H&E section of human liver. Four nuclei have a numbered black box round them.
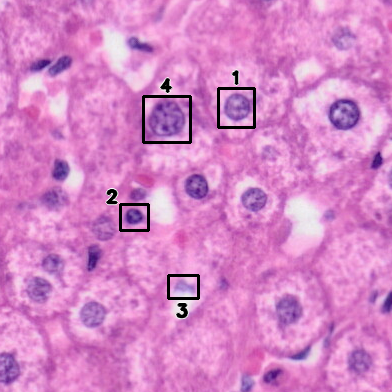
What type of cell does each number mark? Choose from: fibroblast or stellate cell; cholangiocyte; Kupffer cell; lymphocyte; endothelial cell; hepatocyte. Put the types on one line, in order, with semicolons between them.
hepatocyte; lymphocyte; endothelial cell; hepatocyte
